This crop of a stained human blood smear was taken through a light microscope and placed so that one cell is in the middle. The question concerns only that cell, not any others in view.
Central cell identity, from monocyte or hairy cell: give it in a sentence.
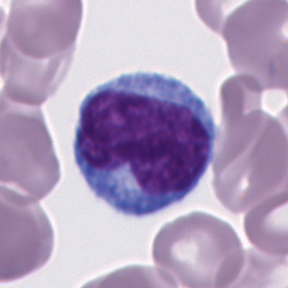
In the centre of this crop there is a monocyte.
